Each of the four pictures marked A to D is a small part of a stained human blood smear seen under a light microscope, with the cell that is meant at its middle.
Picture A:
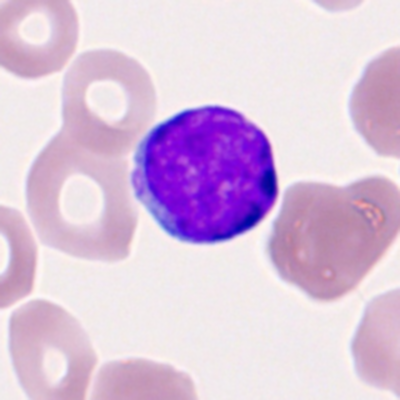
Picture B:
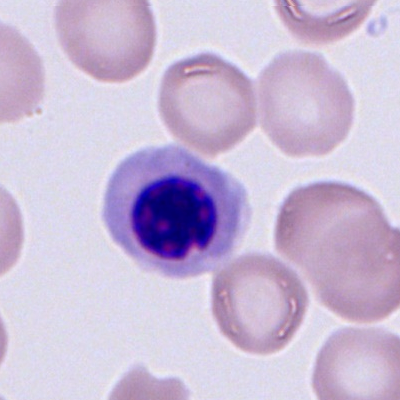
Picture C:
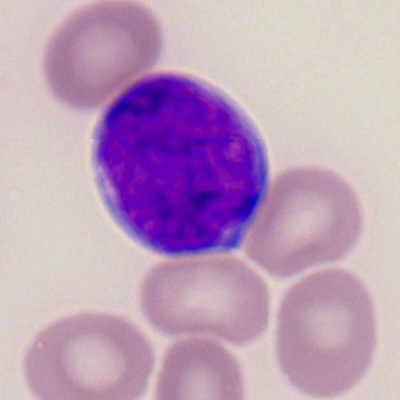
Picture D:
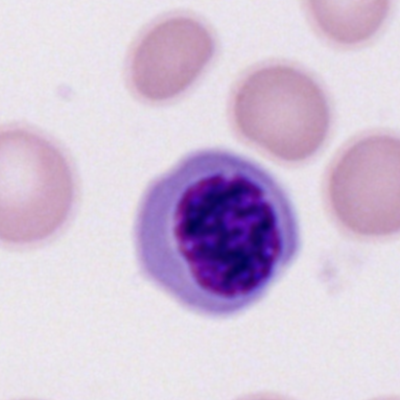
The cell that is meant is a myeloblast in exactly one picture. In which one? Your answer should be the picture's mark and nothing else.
C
